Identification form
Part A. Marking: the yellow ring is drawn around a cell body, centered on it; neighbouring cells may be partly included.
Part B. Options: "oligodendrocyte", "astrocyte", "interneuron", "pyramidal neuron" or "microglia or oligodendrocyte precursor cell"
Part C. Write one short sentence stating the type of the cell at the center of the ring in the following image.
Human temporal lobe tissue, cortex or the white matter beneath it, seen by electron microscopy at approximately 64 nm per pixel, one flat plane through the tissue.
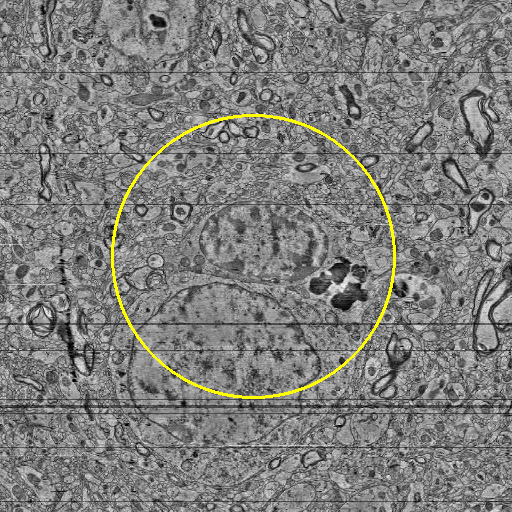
The center of the ring holds an oligodendrocyte.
